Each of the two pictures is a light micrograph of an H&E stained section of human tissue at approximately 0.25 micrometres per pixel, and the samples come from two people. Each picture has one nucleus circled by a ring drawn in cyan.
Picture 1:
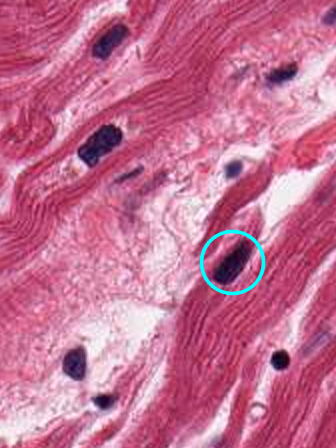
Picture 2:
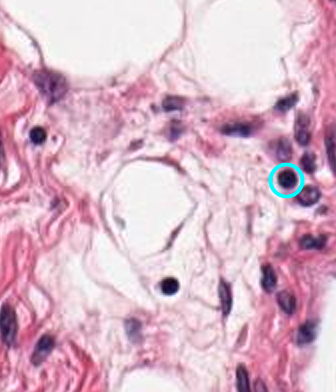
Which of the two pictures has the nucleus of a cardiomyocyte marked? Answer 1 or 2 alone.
1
